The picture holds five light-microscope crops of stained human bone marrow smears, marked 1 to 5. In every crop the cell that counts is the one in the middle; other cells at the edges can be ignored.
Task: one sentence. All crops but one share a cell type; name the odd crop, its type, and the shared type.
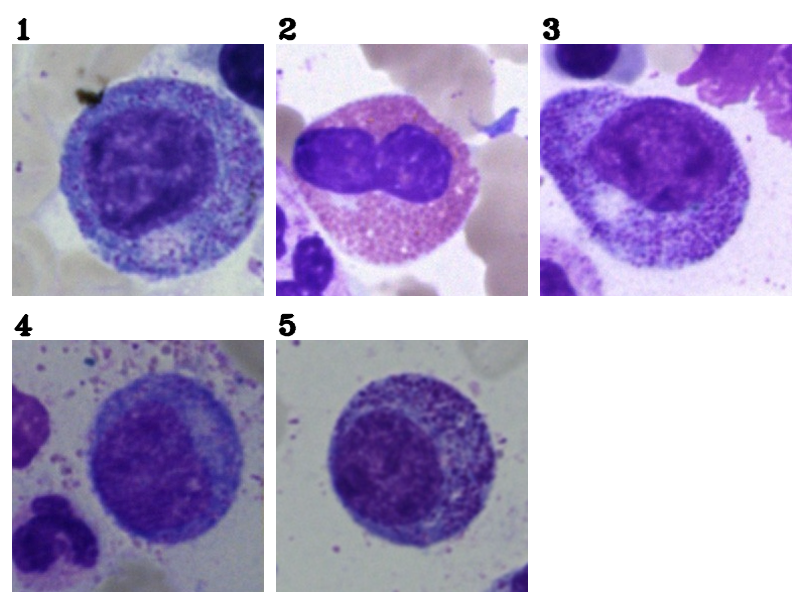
All of the other crops show promyelocytes; crop 2, by contrast, is an eosinophil.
